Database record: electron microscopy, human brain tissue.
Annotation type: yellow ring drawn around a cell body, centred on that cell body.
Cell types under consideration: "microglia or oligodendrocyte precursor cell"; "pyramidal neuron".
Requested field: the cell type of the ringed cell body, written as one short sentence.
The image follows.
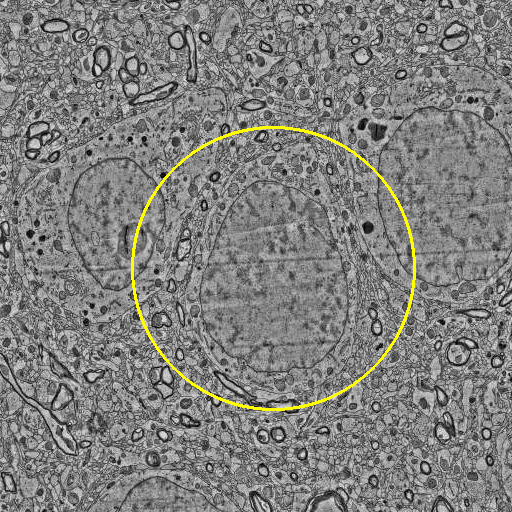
The ringed cell body represents a pyramidal neuron.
